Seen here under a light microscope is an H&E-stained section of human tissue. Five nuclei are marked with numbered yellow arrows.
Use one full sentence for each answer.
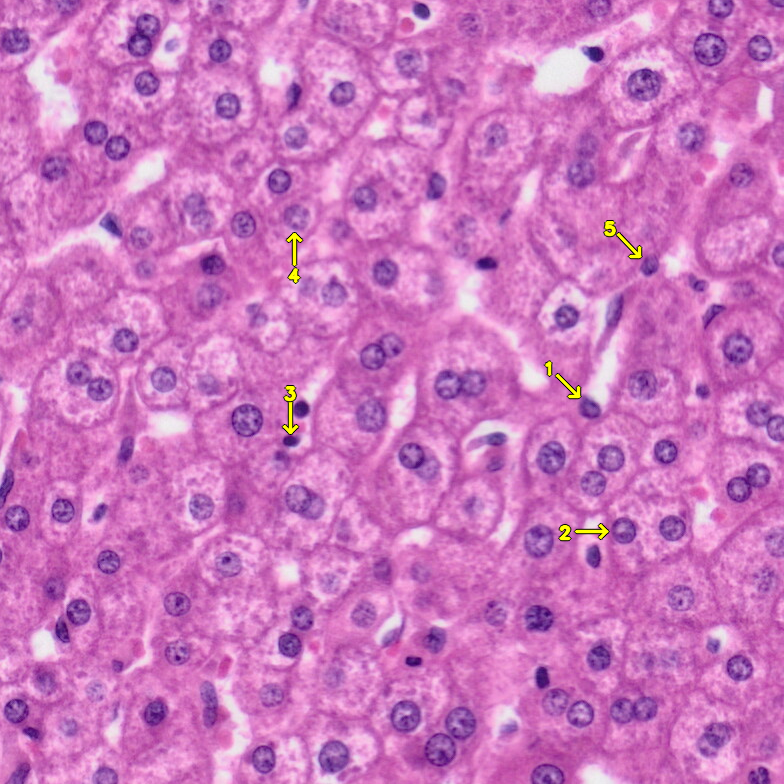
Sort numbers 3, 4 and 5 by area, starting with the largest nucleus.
Largest first, the order by area is 4, 5, 3.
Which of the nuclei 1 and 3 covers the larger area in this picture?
Nucleus 1 is the larger one, covering about 3 times the area of nucleus 3.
